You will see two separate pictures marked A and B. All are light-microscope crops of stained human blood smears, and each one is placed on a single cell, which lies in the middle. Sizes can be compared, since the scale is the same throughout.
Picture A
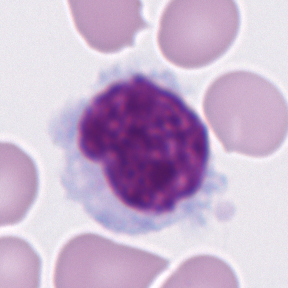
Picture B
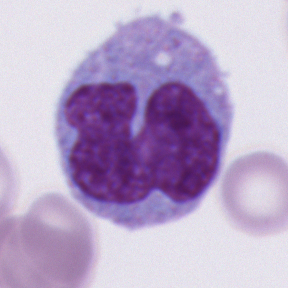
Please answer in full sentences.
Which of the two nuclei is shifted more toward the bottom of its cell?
The nucleus in picture B lies further toward the bottom of its cell.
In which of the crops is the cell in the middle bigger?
It is the cell in picture B, about 1.5 times as large in area as the cell in picture A.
